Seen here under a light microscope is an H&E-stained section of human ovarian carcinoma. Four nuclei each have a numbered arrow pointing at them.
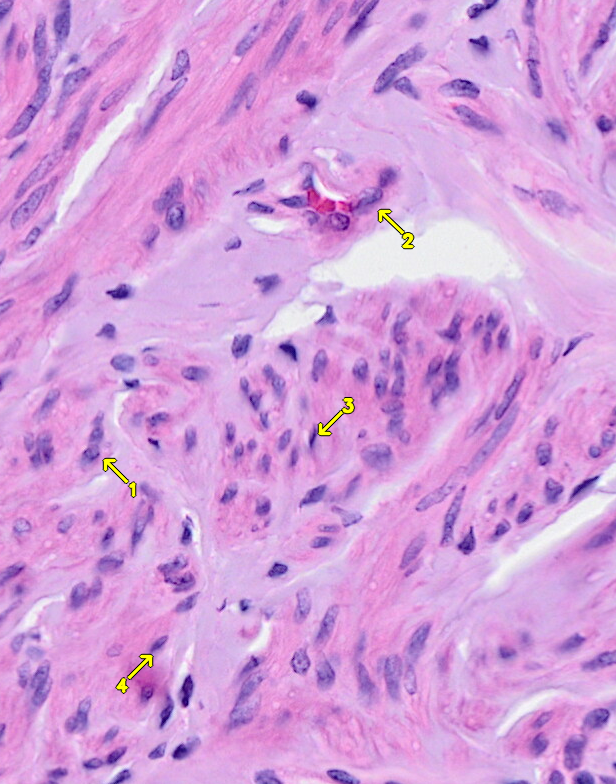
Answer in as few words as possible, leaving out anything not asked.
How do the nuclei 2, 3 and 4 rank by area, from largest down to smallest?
2, 4, 3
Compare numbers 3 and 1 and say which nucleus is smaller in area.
3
